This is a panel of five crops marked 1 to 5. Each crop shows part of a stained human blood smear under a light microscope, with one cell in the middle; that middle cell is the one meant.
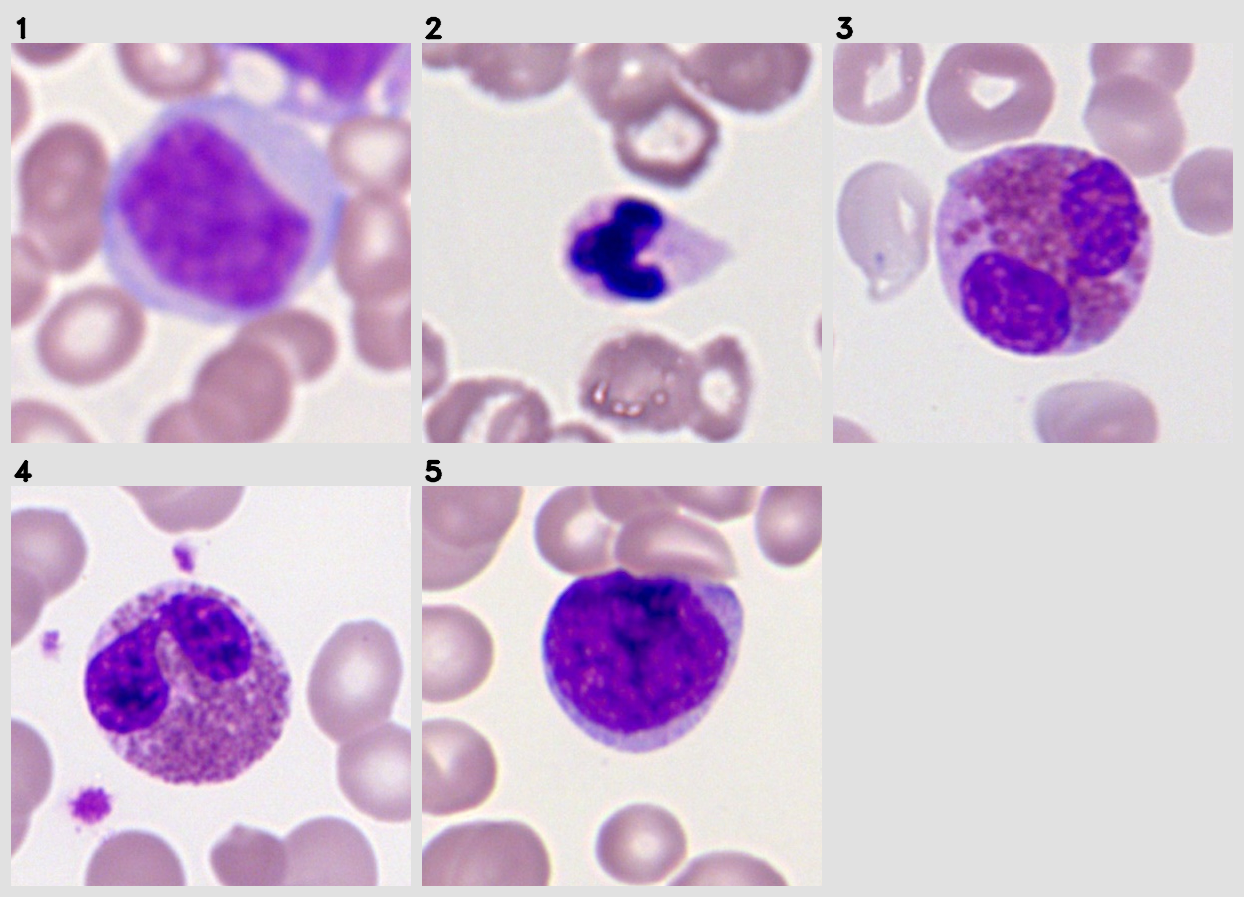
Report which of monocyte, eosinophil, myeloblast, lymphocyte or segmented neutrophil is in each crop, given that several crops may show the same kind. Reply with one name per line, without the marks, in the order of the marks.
monocyte
segmented neutrophil
eosinophil
eosinophil
myeloblast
